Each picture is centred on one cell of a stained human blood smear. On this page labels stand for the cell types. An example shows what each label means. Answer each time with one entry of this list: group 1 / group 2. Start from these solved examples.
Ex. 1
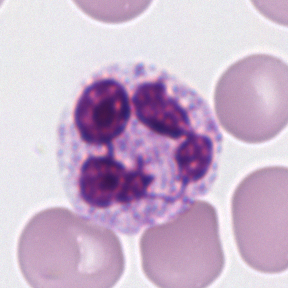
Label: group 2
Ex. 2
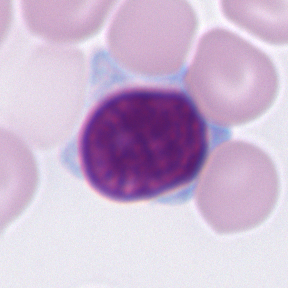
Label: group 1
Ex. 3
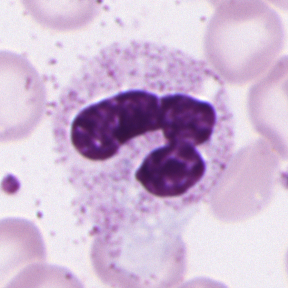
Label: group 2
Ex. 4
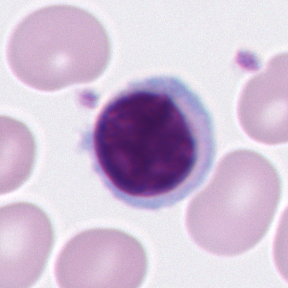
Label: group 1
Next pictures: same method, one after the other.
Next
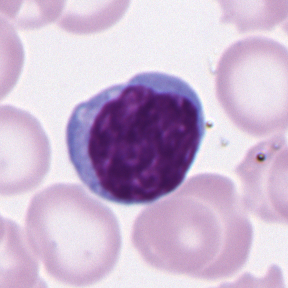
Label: group 1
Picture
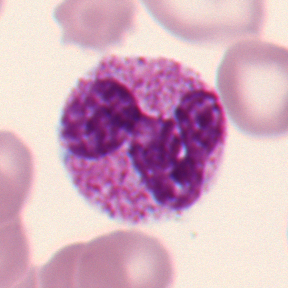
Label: group 2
